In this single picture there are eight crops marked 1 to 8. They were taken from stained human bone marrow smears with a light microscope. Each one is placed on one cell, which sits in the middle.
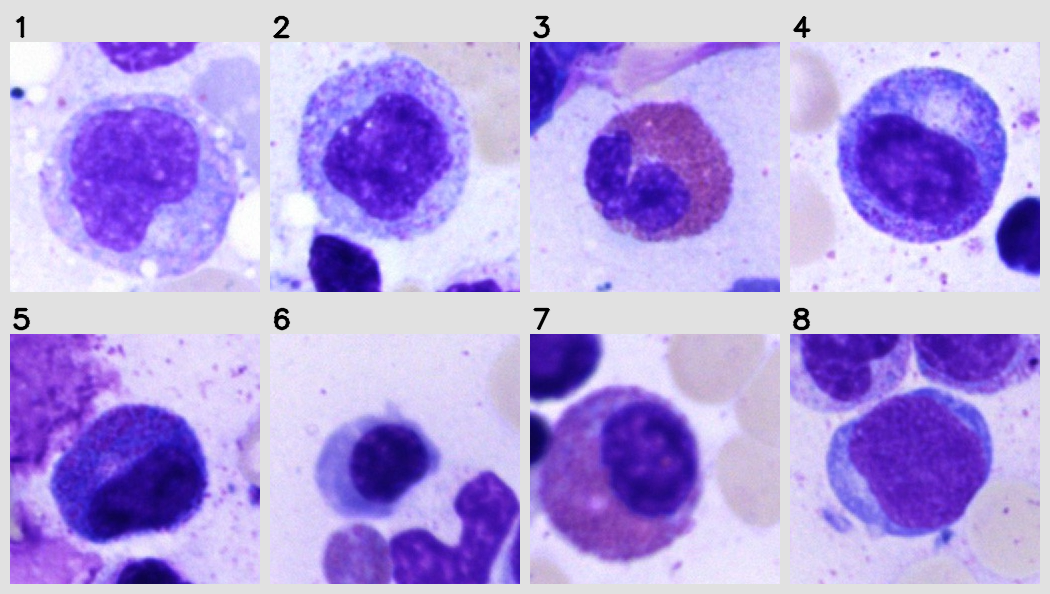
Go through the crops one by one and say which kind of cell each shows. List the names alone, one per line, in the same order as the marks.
monocyte
myelocyte
eosinophil
promyelocyte
promyelocyte
erythroblast
eosinophil
blast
